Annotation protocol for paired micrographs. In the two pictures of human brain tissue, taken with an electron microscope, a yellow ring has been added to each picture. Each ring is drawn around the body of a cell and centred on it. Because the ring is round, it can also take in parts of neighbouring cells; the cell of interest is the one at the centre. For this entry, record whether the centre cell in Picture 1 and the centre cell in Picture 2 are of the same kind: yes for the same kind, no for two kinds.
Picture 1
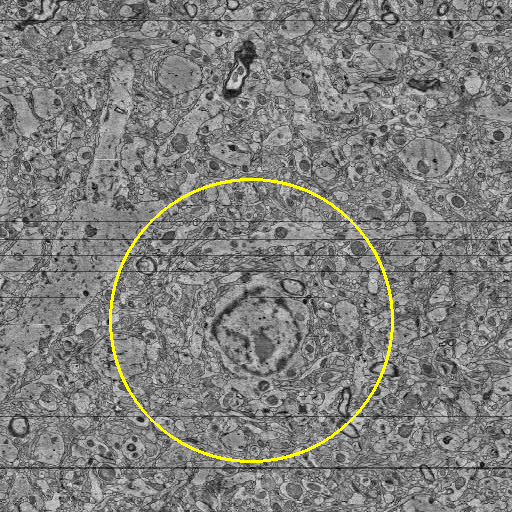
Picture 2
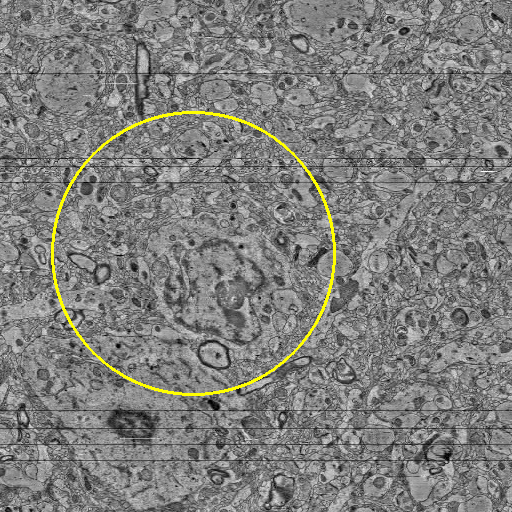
no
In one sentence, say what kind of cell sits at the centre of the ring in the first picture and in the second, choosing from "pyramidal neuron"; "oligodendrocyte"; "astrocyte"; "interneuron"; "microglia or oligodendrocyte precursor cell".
The first picture's ringed cell is a microglial cell or oligodendrocyte precursor cell, while the second picture's is an interneuron.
